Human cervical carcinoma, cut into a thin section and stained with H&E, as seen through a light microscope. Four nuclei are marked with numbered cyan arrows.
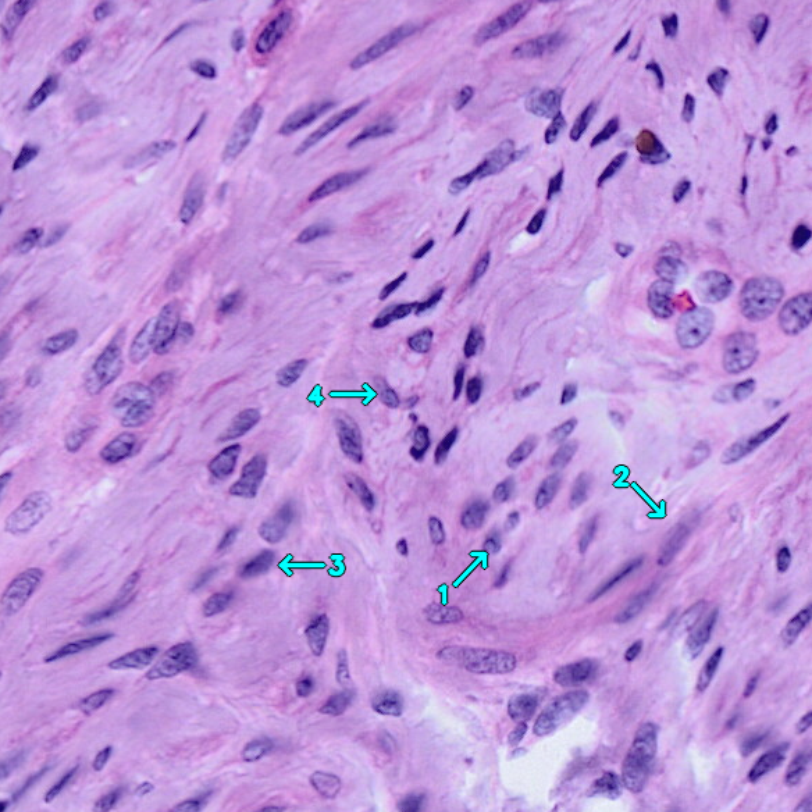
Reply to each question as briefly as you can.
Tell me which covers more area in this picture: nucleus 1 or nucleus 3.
3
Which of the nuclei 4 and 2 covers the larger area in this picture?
2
